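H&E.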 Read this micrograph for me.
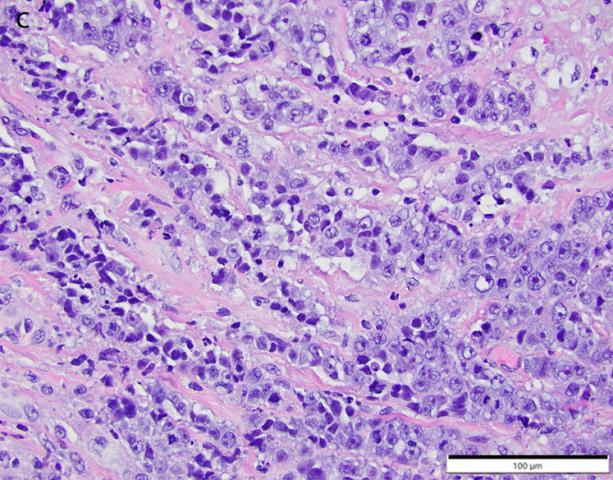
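Cancer cells in sheets and nests separated by thin strands of pink fibrous stroma. The cells are large with enlarged vesicular nuclei, prominent nucleoli and pale to vacuolated cytoplasm, with marked variation in nuclear size and some darkly staining nuclei.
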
